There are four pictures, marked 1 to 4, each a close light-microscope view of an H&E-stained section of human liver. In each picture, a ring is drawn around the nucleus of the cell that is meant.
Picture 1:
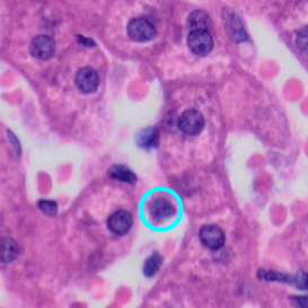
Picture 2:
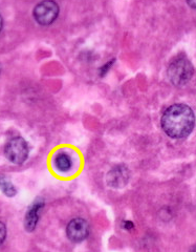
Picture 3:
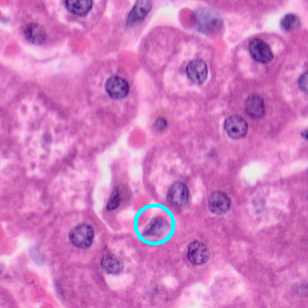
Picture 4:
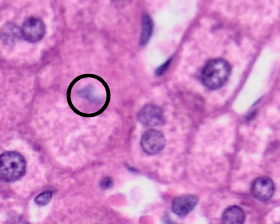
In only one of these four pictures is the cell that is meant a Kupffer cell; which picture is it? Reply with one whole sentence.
The Kupffer cell is the one in picture 1.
